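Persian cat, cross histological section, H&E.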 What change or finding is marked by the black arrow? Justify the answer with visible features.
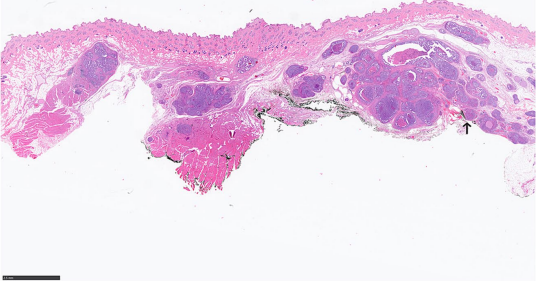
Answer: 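Dirty deep margin. Purple tumour lobules extend down to the lower edge of the section. The arrow points at the deep cut border where tumour tissue reaches the edge.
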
